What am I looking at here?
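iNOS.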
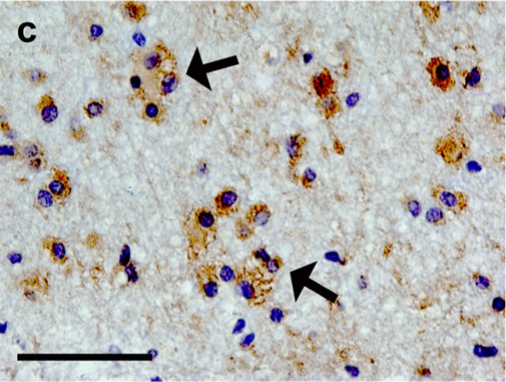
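This is white matter with scattered microglia and macrophages whose cytoplasm stains brown around blue round to oval nuclei. In places several such cells gather into small clusters, forming little foci, while the background neuropil is pale and vacuolated.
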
